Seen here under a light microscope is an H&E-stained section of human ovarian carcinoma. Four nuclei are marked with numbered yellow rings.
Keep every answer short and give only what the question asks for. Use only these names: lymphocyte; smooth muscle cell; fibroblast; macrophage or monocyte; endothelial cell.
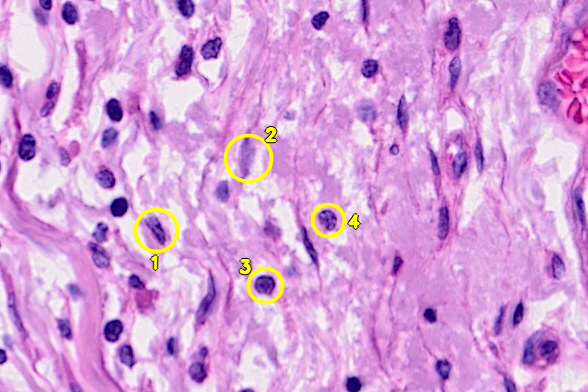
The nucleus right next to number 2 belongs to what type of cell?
lymphocyte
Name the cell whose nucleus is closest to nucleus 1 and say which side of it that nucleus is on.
a lymphocyte; above and to the left of nucleus 1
